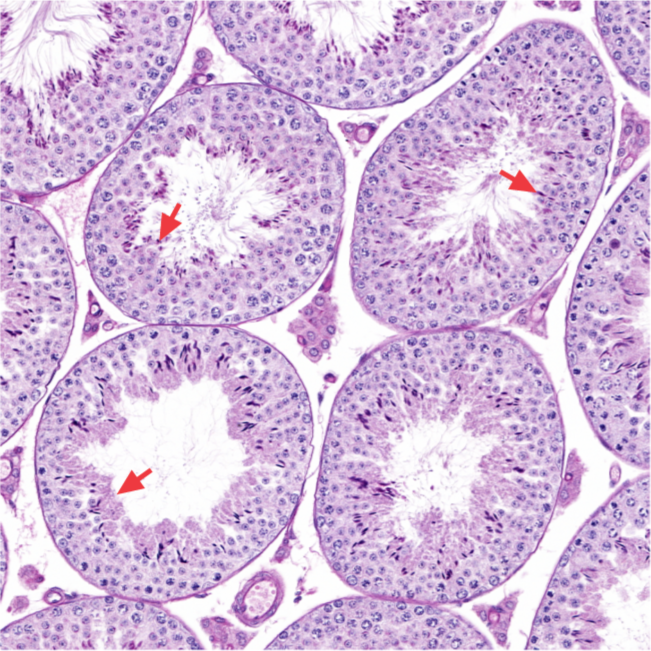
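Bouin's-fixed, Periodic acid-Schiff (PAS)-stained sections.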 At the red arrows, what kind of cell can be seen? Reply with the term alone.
Spermatids.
